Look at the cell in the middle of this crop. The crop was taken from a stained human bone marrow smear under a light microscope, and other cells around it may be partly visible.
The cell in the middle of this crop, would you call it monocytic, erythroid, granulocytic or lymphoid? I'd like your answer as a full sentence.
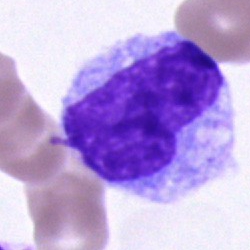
The cell at the center of this crop is from the monocytic lineage.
